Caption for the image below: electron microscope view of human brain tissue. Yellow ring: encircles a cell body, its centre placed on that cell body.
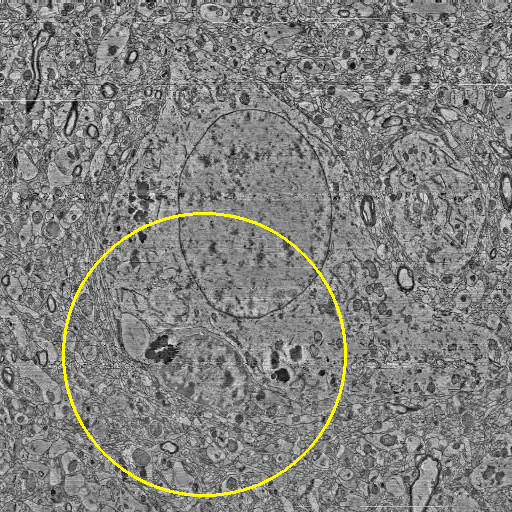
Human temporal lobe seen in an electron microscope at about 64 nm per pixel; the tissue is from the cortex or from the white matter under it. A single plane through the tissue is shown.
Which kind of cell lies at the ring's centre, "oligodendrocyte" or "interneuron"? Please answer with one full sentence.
The picture shows an oligodendrocyte at the centre of the yellow ring.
